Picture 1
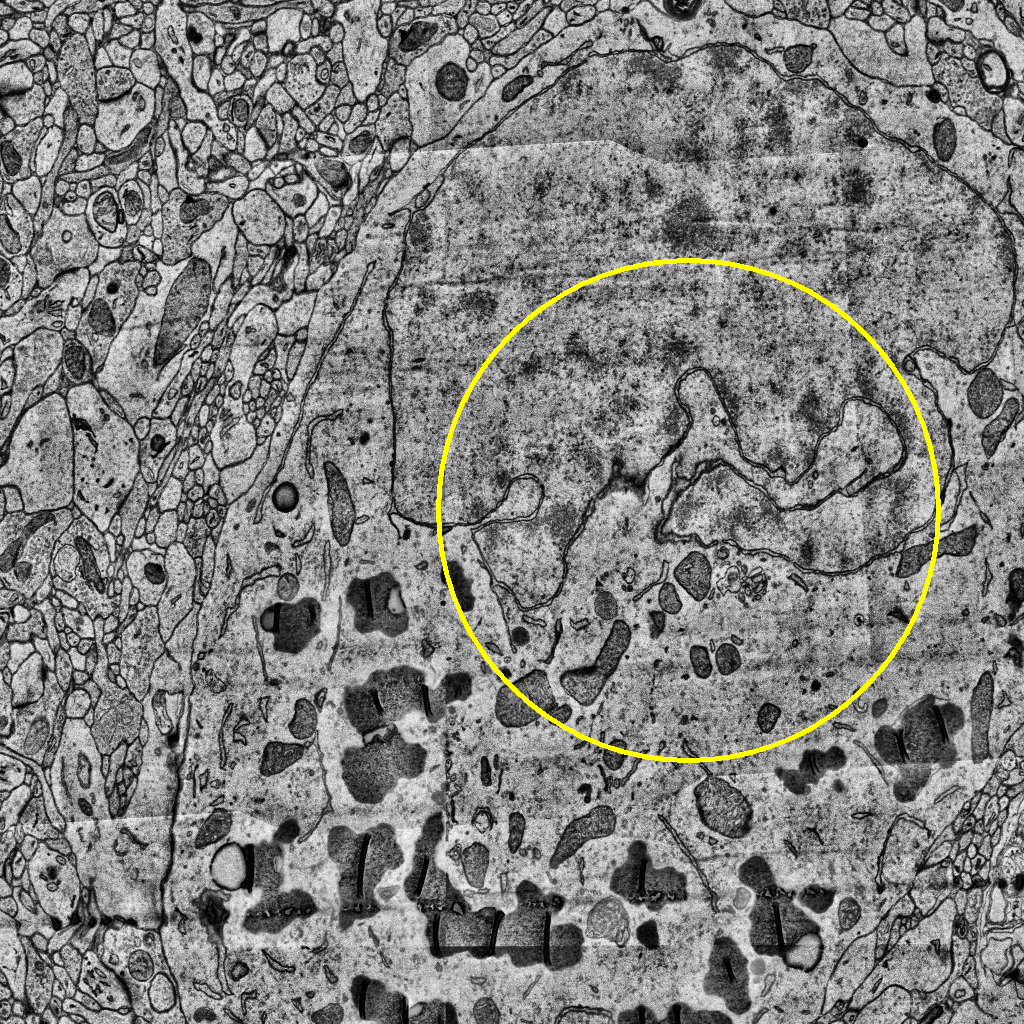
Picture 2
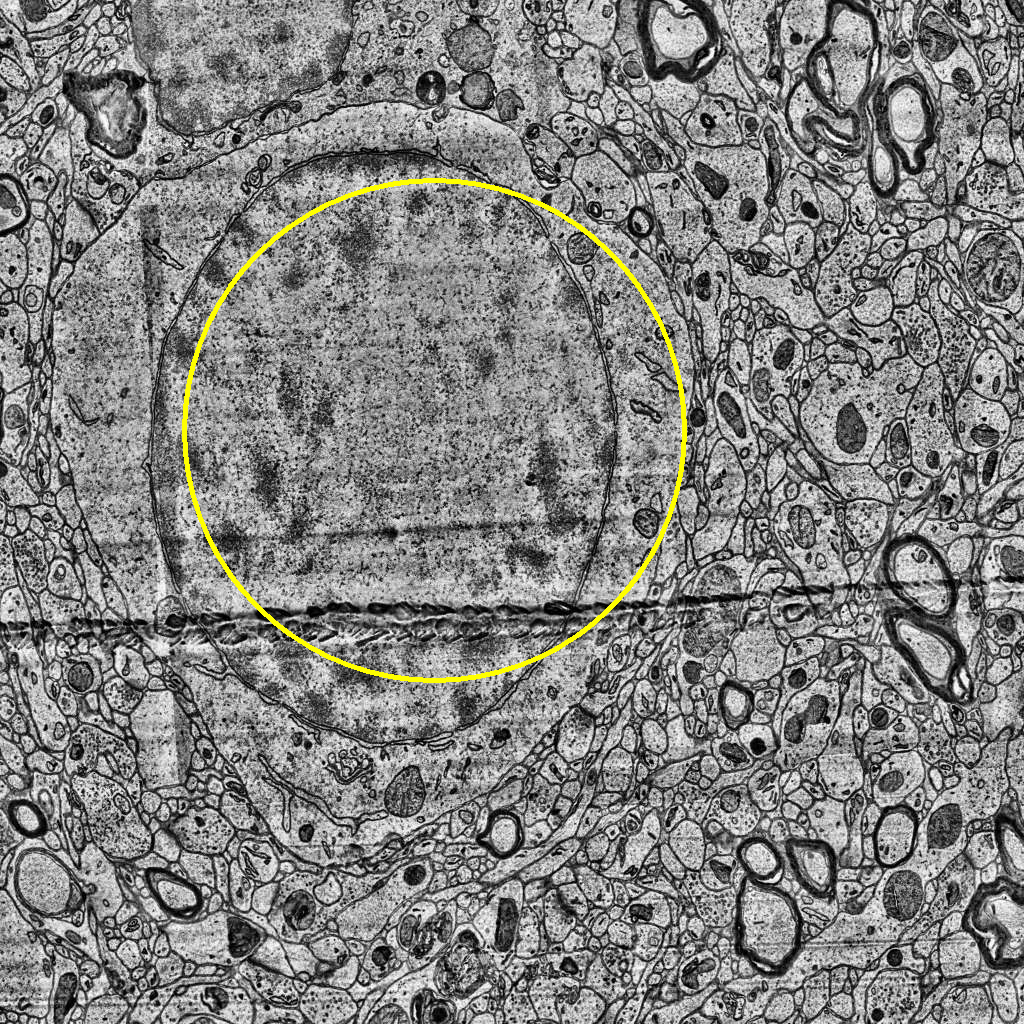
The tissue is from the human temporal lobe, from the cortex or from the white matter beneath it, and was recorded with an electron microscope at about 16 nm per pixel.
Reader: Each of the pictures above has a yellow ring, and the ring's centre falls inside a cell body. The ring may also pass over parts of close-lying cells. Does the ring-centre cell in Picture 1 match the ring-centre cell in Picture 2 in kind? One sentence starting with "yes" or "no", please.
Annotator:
Yes, Picture 1 and Picture 2 show ring-centre cells of a single kind.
